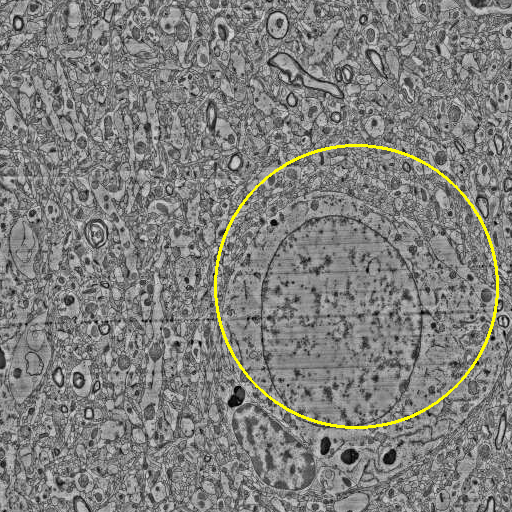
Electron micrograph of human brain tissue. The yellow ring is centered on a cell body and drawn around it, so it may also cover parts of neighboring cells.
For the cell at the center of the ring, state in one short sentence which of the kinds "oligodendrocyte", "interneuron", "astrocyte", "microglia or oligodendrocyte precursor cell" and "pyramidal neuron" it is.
This ring is centered on a pyramidal neuron.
